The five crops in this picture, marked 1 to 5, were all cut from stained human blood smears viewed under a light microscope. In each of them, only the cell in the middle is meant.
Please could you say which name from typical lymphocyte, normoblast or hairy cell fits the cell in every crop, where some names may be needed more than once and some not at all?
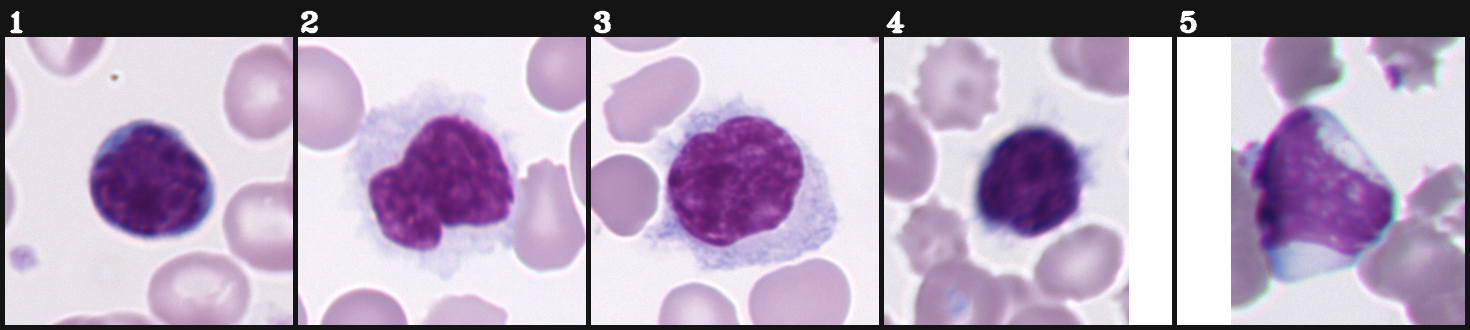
1: typical lymphocyte
2: hairy cell
3: hairy cell
4: hairy cell
5: typical lymphocyte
